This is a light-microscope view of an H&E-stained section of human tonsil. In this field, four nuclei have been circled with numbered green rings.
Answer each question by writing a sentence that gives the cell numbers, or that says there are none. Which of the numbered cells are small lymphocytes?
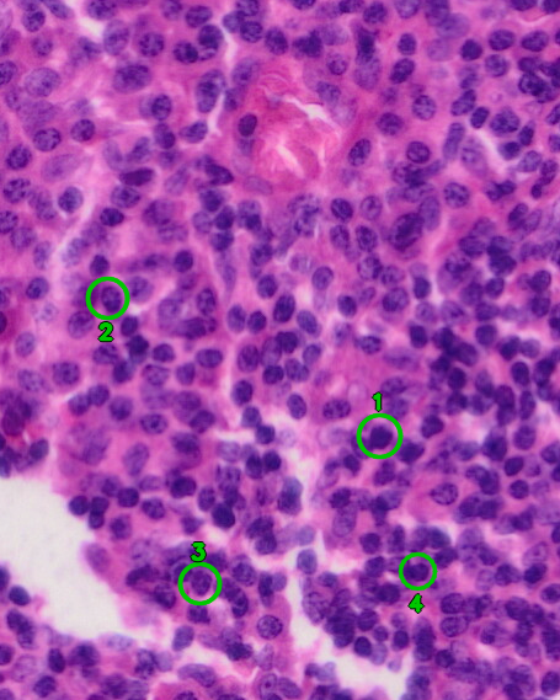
The numbers 1, 3 and 4 refer to cells that are small lymphocytes.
